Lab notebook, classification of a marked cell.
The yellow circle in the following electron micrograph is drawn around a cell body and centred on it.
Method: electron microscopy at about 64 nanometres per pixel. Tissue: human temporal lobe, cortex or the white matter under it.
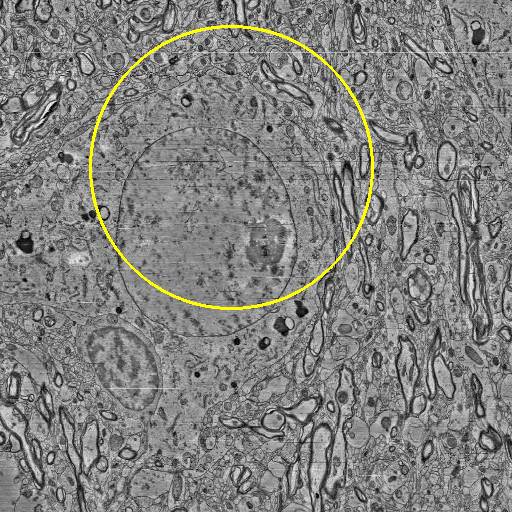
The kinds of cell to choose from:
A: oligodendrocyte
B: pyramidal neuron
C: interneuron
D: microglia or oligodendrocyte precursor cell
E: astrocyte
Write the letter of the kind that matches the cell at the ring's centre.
B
